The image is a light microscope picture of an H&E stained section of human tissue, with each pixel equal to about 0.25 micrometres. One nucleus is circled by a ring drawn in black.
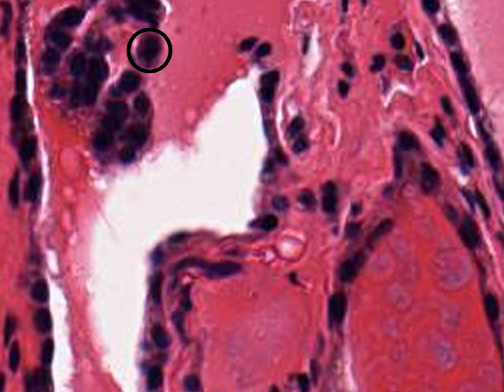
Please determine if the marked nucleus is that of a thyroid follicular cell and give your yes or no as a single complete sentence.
Yes, the marked nucleus is contained in a thyroid follicular cell.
